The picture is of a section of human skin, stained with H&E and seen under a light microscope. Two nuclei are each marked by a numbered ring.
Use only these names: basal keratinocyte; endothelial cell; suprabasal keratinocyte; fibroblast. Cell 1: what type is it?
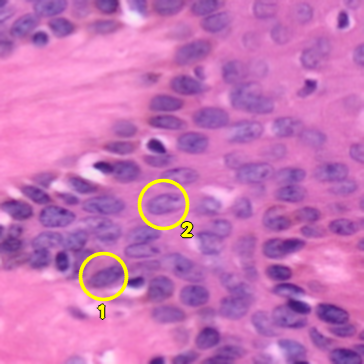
basal keratinocyte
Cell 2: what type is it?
suprabasal keratinocyte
